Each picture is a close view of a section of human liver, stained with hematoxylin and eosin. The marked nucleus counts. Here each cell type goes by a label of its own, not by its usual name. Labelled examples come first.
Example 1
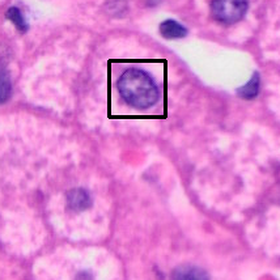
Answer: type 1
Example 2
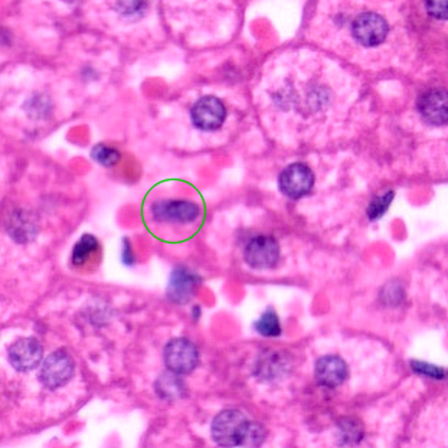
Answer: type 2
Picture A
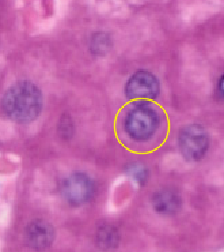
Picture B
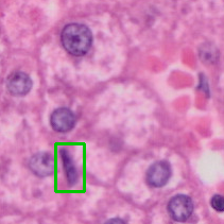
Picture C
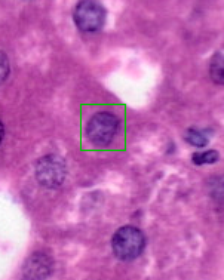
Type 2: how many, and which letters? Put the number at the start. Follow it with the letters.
1: B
